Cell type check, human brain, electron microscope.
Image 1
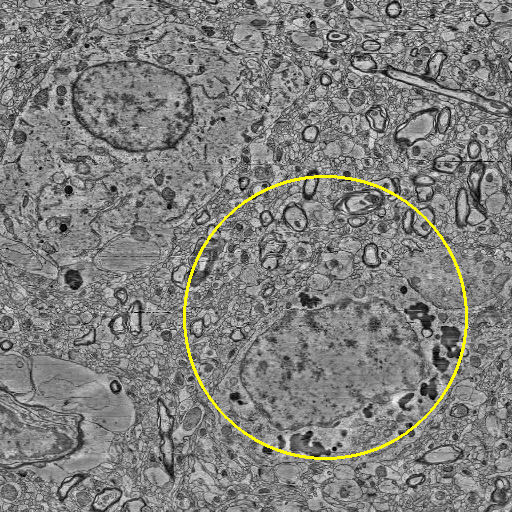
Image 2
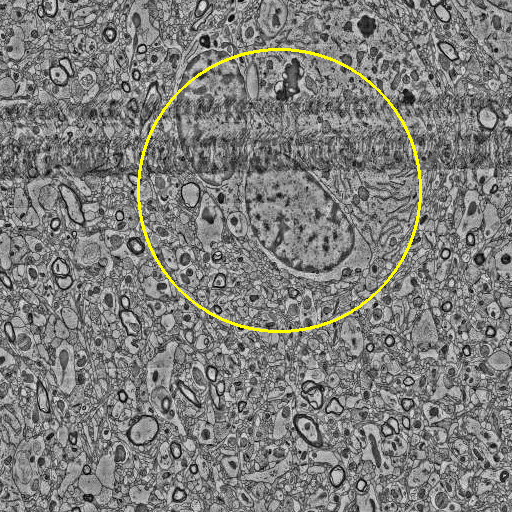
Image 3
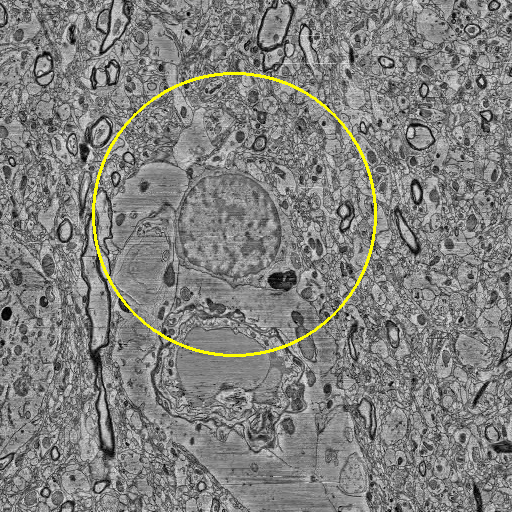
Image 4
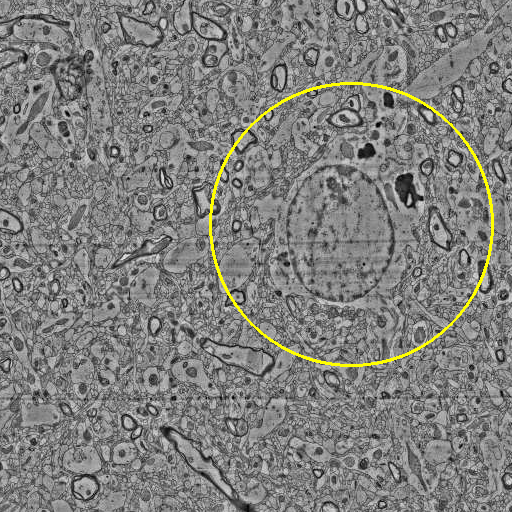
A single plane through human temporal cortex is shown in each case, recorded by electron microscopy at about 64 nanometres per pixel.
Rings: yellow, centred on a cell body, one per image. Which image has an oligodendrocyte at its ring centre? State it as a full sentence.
The ring in Image 3 is centred on it.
